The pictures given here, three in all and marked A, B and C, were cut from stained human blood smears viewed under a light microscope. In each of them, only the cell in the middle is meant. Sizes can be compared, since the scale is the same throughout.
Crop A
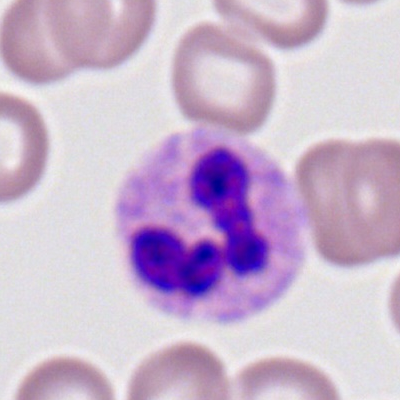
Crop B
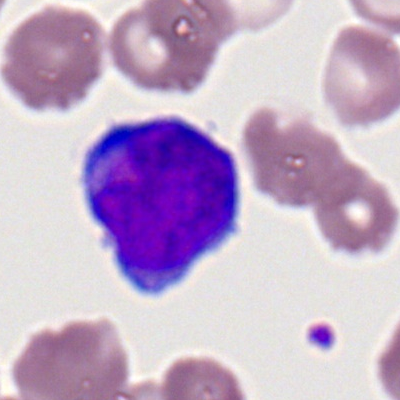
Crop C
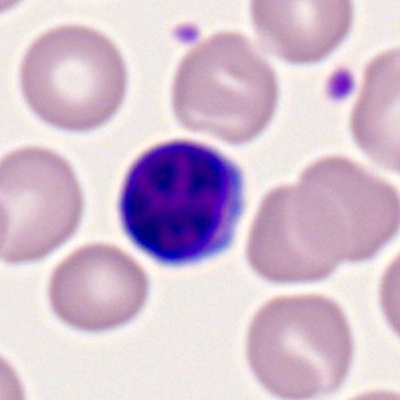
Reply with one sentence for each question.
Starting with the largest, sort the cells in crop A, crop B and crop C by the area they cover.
The order is A, B, C, beginning with the largest.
